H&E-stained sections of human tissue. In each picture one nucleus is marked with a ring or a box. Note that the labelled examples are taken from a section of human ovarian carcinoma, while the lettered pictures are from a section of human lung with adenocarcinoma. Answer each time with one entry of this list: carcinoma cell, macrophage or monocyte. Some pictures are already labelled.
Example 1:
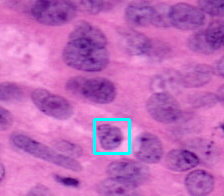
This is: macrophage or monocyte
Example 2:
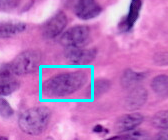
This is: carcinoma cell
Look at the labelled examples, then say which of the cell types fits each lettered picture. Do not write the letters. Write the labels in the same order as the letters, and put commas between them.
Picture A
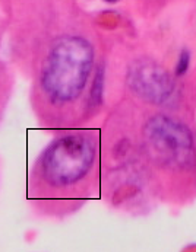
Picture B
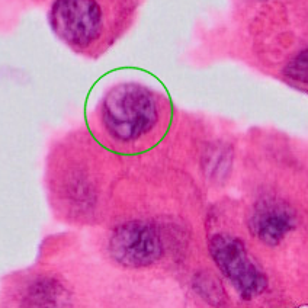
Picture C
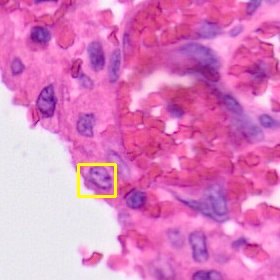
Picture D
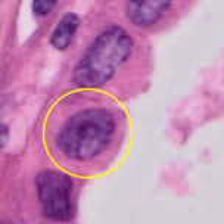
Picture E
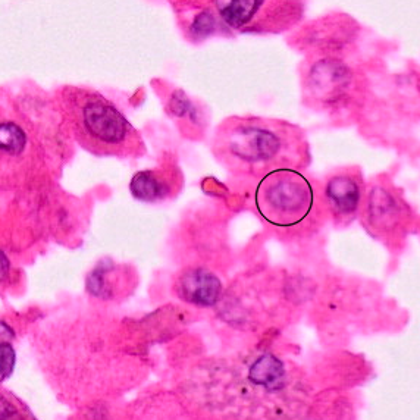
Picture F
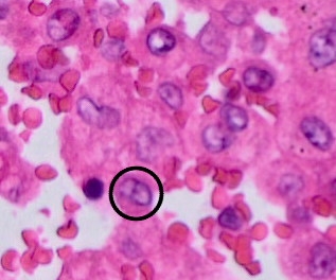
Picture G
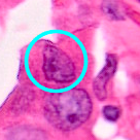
carcinoma cell, carcinoma cell, macrophage or monocyte, carcinoma cell, macrophage or monocyte, macrophage or monocyte, carcinoma cell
